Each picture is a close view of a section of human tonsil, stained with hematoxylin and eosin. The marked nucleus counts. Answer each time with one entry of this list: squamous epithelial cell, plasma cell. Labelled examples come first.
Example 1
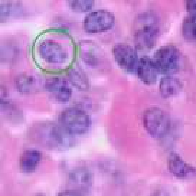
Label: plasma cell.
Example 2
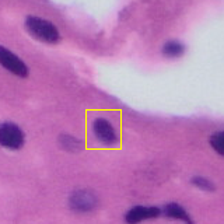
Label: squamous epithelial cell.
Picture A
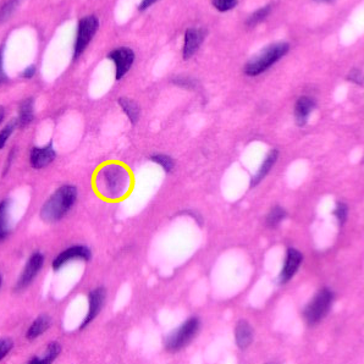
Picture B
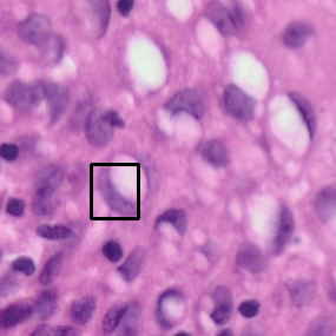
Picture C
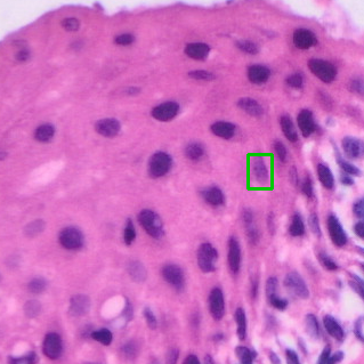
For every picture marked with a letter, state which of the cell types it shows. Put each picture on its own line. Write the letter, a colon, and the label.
A: squamous epithelial cell.
B: squamous epithelial cell.
C: squamous epithelial cell.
